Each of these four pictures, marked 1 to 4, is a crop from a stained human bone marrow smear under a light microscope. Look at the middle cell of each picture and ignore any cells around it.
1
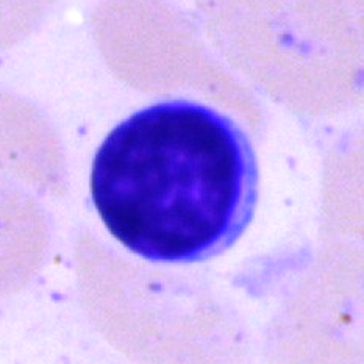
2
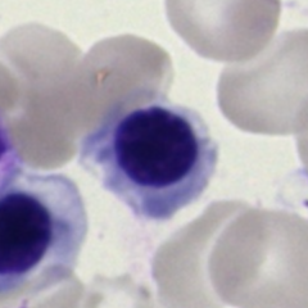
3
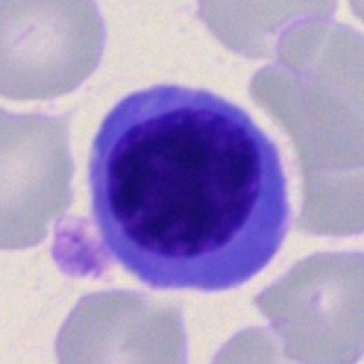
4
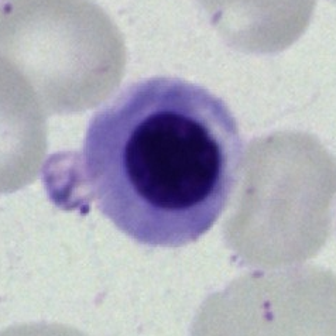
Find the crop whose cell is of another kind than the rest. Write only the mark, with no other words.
1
